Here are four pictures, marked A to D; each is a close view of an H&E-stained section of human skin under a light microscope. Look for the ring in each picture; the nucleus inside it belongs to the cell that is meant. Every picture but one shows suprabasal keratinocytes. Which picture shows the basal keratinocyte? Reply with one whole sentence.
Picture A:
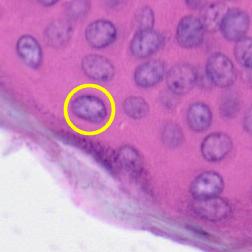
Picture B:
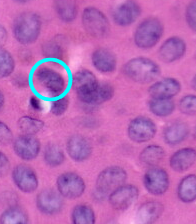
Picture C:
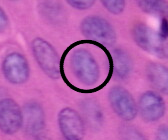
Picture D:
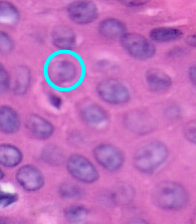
The basal keratinocyte is the one in picture B.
